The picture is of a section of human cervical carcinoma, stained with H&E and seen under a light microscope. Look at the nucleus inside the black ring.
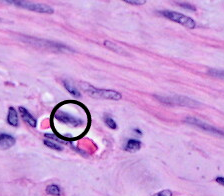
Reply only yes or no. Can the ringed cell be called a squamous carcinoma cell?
no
